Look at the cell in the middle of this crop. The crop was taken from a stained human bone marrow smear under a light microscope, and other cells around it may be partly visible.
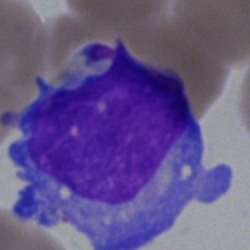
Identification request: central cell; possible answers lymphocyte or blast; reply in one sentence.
What sits at the centre of this crop is a blast.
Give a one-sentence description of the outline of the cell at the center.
Along the periphery, ragged stretches or projections make the outline irregular.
